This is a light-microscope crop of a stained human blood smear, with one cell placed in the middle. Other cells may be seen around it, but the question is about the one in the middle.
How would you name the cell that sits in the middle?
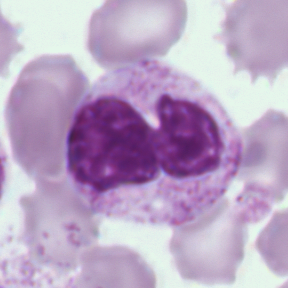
band neutrophil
